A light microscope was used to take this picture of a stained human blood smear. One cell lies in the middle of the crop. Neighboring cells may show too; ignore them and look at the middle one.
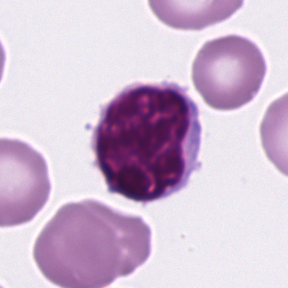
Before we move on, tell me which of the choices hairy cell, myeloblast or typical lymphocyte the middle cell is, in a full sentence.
The centered cell in this crop is a typical lymphocyte.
